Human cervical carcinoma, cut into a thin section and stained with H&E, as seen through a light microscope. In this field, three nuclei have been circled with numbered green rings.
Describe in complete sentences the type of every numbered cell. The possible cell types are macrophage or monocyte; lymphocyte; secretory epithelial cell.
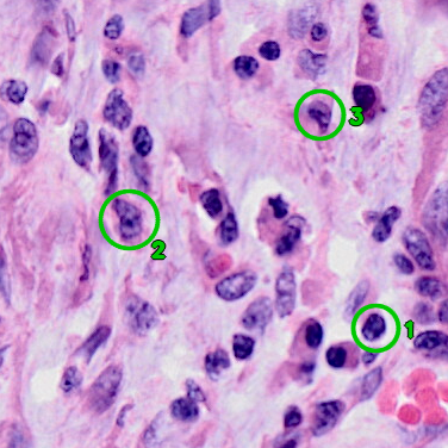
Cell 1 is a lymphocyte, cell 2 is a macrophage or monocyte and cell 3 is a macrophage or monocyte.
